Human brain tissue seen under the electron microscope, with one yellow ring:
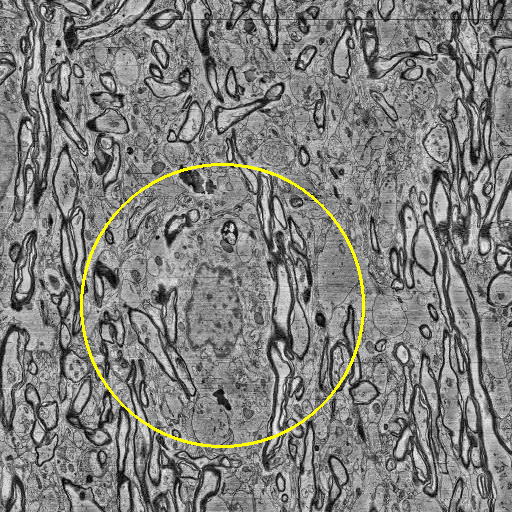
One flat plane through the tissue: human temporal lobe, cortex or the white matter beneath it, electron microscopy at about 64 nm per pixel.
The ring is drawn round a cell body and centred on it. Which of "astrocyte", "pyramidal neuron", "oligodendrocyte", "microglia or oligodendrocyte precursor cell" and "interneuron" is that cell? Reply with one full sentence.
The picture shows an astrocyte at the very centre of the yellow ring.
